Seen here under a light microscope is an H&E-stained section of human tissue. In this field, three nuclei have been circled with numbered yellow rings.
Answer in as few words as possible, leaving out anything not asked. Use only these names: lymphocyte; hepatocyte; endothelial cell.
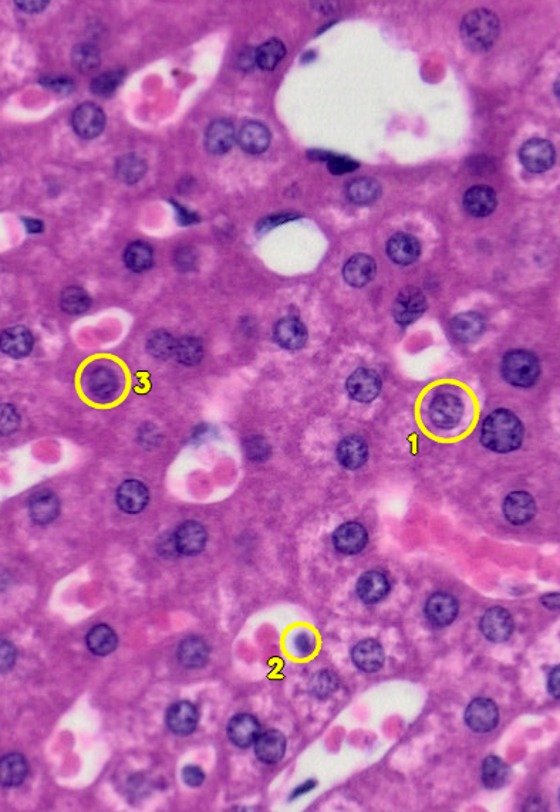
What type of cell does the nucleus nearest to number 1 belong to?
hepatocyte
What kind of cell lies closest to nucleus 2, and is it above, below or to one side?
a hepatocyte below and to the right of nucleus 2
